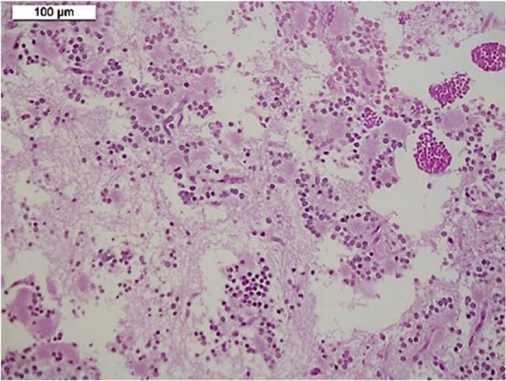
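This is the rosette-forming part of a tumour made of small, uniform cells. The cells have round, dark nuclei and scant cytoplasm and gather in clusters and rings around pink, fibrillary or amorphous cores. Between the clusters the background is loose, pale and microcystic. No marked nuclear pleomorphism is seen.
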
